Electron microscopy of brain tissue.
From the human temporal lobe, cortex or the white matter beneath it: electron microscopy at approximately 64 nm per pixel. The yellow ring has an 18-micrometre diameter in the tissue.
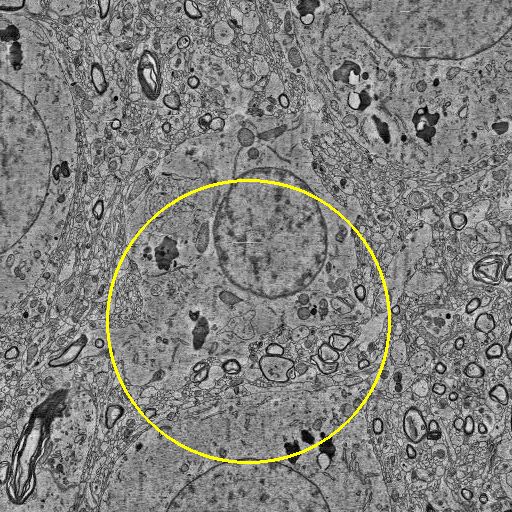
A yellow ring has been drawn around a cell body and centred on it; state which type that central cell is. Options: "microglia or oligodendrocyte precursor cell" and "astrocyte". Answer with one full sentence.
The cell at the middle of the yellow ring is an astrocyte in this picture.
